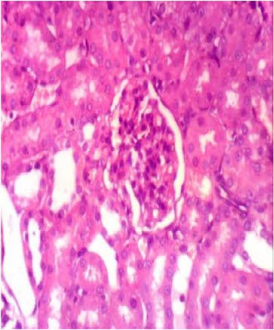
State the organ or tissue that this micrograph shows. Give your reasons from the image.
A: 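A glomerulus with its capillary tuft lies within a Bowman's space at the centre. It is surrounded by closely packed tubules lined by cuboidal pink epithelium. That points to this answer: renal tissue.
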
